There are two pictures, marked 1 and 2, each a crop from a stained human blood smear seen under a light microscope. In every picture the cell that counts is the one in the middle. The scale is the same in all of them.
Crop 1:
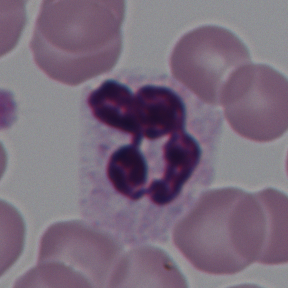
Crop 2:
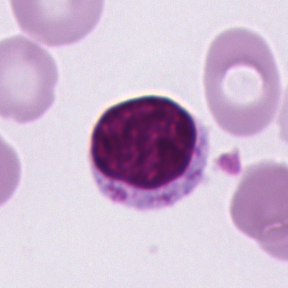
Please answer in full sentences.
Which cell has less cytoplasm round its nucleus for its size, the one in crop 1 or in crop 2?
The nucleus fills more of the cell in crop 2 than in crop 1.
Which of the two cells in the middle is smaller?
The cell in crop 2 is smaller; the one in crop 1 has about 2 times its area.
